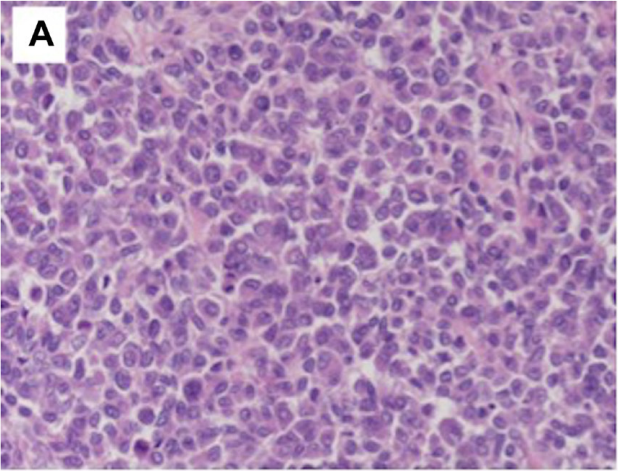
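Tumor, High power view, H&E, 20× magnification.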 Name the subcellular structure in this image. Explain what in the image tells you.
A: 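Prominent nucleoli. Many round to oval nuclei contain a distinct dark dot within them. The nuclei are large relative to the cells.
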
